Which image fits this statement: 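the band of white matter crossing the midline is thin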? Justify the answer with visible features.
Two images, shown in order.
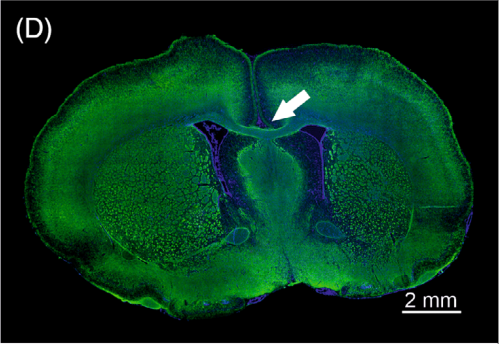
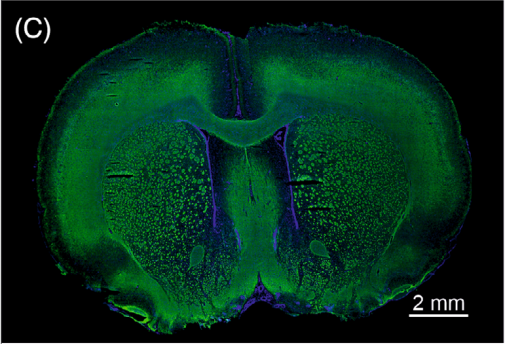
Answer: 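Second image: a broad green band of white matter arches across the midline. First image: the band crossing the midline is narrower. So: the first image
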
